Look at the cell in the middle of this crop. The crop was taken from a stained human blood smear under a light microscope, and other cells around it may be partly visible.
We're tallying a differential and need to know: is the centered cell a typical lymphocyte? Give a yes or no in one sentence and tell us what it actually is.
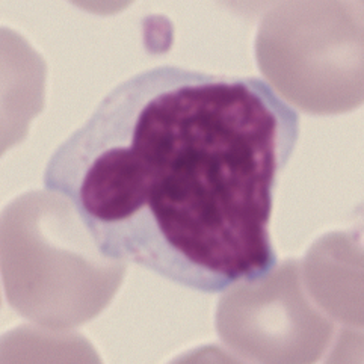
No, the middle cell is actually a large granular lymphocyte rather than a typical lymphocyte.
